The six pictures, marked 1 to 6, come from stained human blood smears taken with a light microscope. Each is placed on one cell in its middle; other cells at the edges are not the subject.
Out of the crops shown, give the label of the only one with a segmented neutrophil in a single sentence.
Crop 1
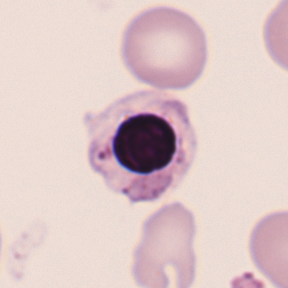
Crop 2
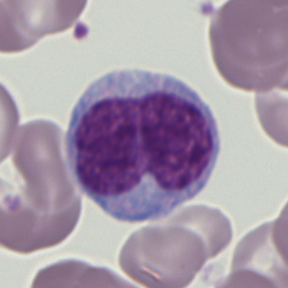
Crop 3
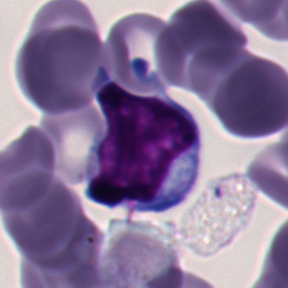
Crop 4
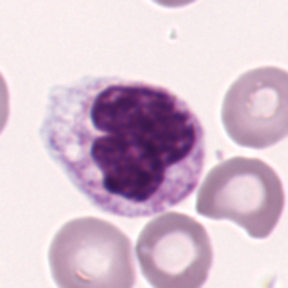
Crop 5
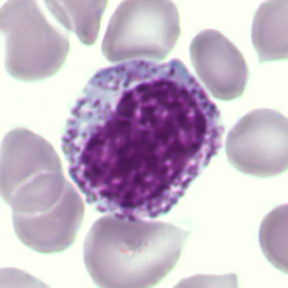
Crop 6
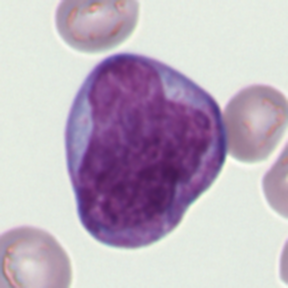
Crop 4 alone, of all the crops, shows a segmented neutrophil.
